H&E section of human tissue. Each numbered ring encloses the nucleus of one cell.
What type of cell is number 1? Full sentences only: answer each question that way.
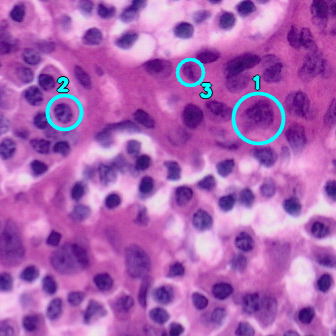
The cell numbered 1 has been identified as a squamous epithelial cell.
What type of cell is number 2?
What the number 2 marks in this field is a plasma cell.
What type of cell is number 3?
The identity of cell 3 is that of a squamous epithelial cell.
